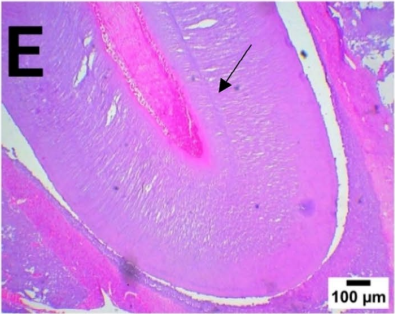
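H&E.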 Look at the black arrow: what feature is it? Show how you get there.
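Demarcation line. The arrow points at a faint line running through the pale purple hard tissue. The hard tissue on either side of the line differs slightly in texture.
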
